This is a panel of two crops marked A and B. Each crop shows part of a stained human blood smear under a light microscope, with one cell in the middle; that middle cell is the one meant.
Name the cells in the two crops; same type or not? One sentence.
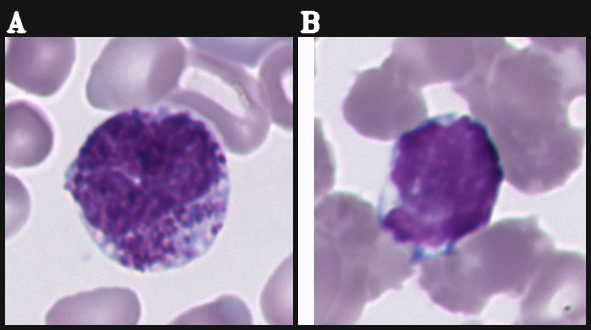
No, on this set crop A shows a basophil and crop B shows a typical lymphocyte.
